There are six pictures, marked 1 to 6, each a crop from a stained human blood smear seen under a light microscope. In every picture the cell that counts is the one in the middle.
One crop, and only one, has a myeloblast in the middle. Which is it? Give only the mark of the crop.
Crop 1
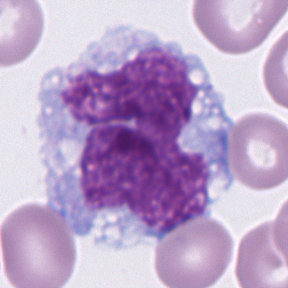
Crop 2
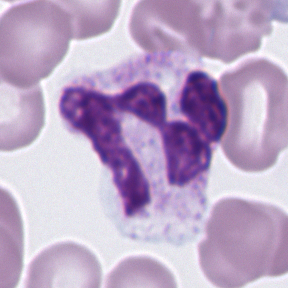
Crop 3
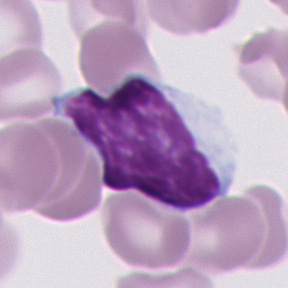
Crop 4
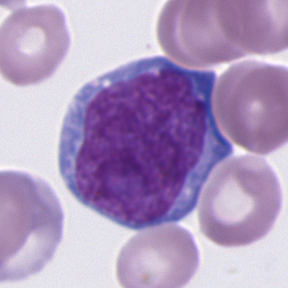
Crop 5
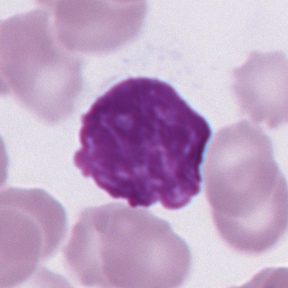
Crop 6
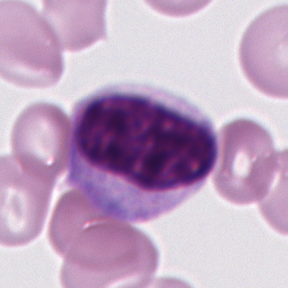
4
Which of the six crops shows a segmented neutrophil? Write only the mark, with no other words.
2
